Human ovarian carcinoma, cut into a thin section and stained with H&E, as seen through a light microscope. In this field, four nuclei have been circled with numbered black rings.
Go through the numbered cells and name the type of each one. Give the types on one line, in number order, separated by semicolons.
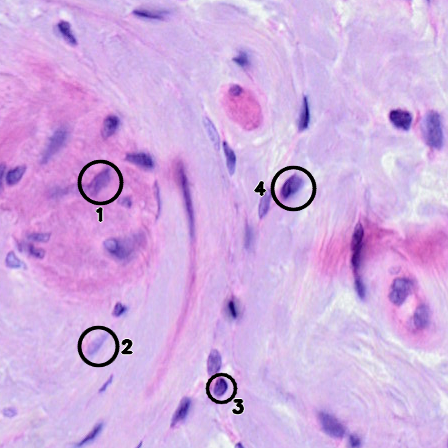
smooth muscle cell; fibroblast; lymphocyte; fibroblast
